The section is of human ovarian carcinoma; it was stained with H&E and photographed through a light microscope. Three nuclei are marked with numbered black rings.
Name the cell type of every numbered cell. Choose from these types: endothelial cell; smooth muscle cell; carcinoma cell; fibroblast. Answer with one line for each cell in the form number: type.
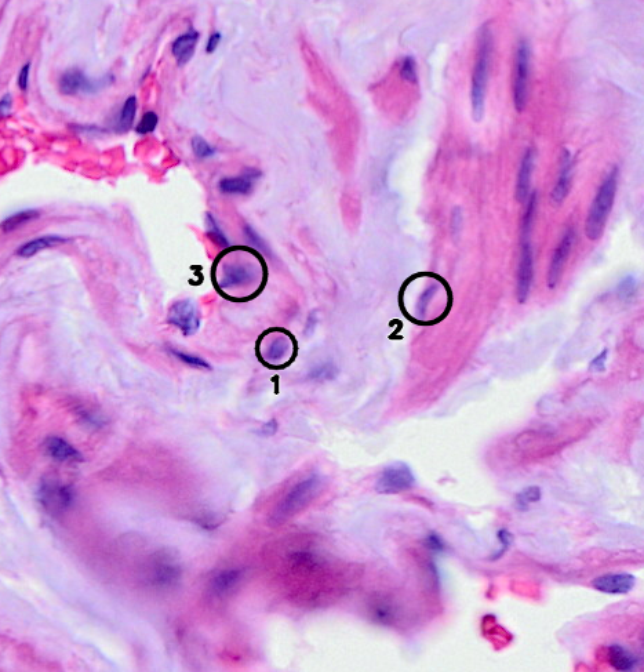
1: smooth muscle cell
2: smooth muscle cell
3: endothelial cell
